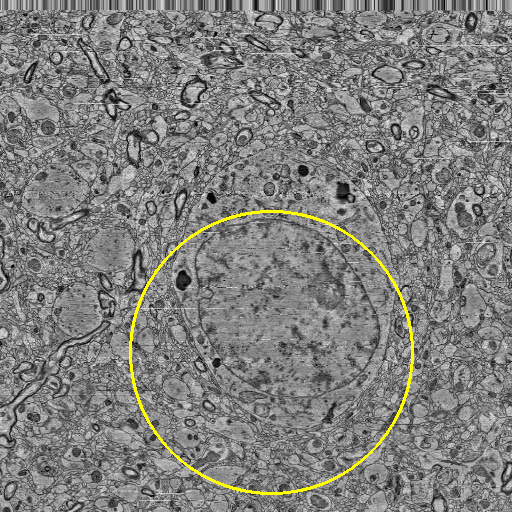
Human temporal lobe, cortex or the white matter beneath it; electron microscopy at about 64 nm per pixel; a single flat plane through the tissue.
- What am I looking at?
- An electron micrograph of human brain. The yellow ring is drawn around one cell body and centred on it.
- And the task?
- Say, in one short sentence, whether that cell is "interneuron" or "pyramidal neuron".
The cell in the middle of the ring is a pyramidal neuron.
